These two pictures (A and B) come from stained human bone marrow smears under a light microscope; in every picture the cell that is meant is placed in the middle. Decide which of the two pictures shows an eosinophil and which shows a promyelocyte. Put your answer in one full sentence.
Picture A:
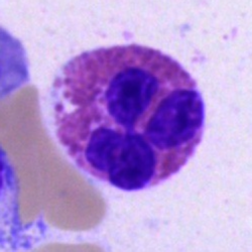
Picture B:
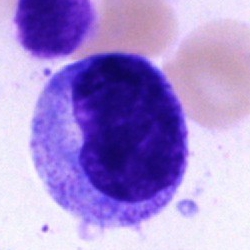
It is picture A that shows an eosinophil, and picture B that shows a promyelocyte.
